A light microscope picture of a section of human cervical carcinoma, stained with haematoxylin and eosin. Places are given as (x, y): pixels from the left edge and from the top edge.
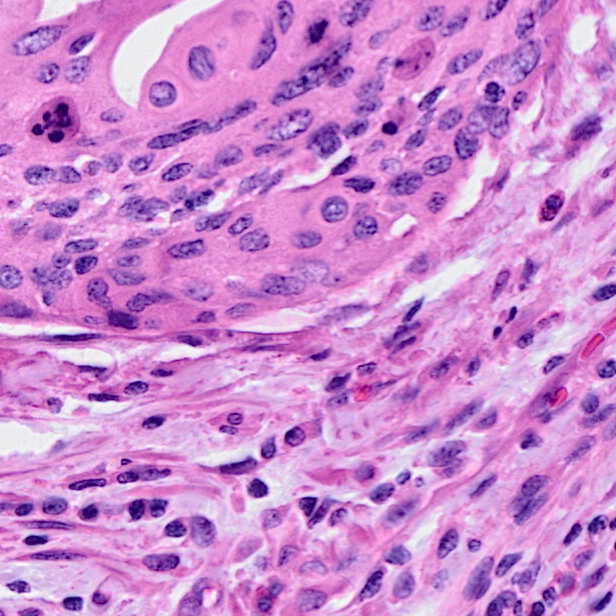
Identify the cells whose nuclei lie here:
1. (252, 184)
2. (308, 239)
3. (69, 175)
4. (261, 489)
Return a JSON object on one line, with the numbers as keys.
{"1": "squamous carcinoma cell", "2": "squamous carcinoma cell", "3": "squamous carcinoma cell", "4": "lymphocyte"}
